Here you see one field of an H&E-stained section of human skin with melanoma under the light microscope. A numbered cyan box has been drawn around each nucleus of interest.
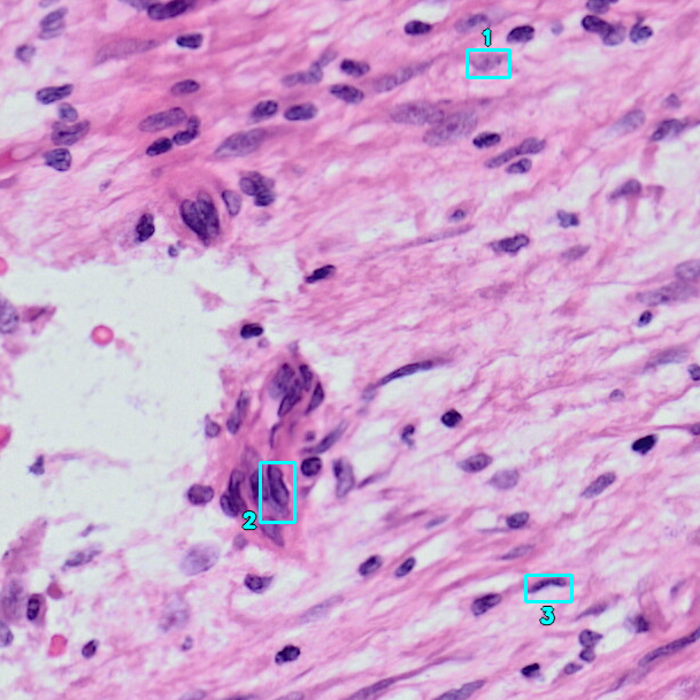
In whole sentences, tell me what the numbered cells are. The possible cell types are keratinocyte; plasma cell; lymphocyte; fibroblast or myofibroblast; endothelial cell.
Cells 1 and 3 are fibroblasts or myofibroblasts. Cell 2 is an endothelial cell.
